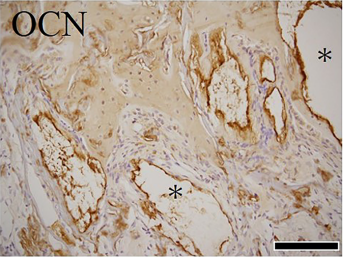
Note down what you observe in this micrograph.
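Newly formed bone and surrounding connective tissue with pale rounded spaces. Brown staining is strongest as dark rims along the margins of the rounded spaces and as a lighter tan over the surrounding matrix. Spindle-shaped cells with small blue nuclei lie scattered in the connective tissue between these areas.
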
